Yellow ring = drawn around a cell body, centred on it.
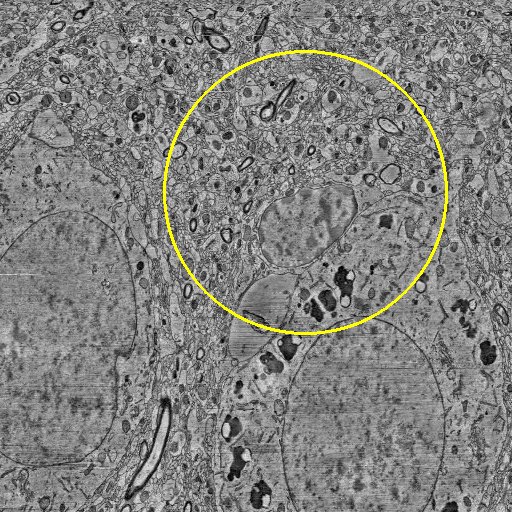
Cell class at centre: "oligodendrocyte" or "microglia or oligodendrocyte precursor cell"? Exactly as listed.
microglia or oligodendrocyte precursor cell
